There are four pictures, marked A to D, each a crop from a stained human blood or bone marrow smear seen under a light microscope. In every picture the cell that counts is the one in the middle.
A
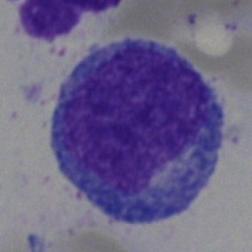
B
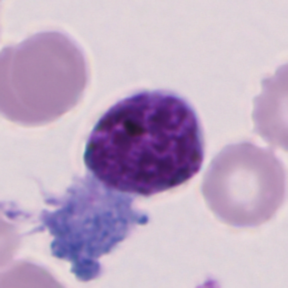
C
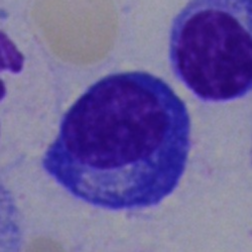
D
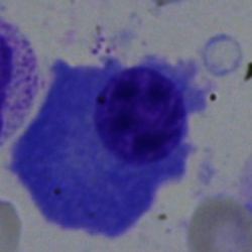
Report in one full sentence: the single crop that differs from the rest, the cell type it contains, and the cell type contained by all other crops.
With the other crops all showing plasma cells, crop A differs by showing a promyelocyte.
